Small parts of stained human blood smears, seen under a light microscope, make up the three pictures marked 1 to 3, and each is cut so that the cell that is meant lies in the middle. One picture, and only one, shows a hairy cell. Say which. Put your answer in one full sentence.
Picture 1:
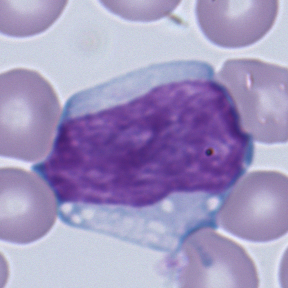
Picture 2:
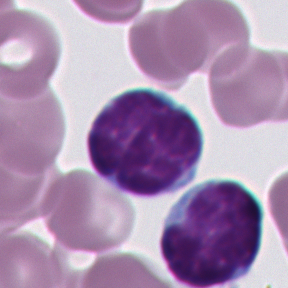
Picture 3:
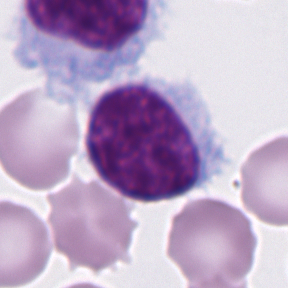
It is picture 3 that shows the hairy cell.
